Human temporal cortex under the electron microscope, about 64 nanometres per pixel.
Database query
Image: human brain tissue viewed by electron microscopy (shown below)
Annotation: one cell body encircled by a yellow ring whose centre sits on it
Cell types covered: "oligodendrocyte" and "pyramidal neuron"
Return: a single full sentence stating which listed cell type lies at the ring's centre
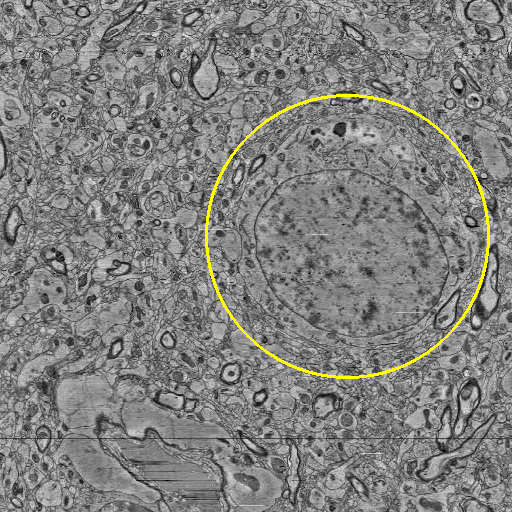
In the image, the cell lying at the ring's centre is a pyramidal neuron.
